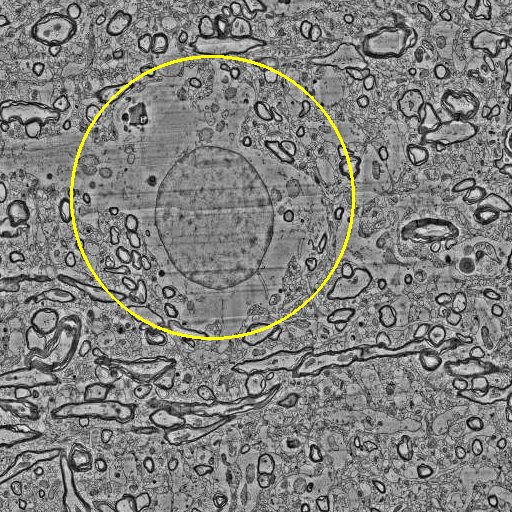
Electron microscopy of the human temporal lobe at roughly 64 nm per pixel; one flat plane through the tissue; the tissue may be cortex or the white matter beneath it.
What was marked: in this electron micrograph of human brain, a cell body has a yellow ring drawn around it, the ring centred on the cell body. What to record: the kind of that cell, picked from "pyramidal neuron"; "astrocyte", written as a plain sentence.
The centred cell is an astrocyte.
